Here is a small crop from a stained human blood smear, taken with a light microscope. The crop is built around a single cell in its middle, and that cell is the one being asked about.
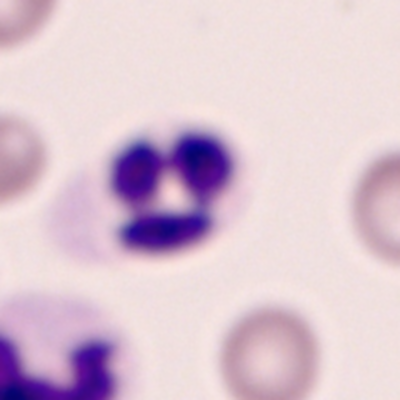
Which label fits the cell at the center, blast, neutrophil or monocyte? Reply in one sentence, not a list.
By classification, the middle cell of this crop is a neutrophil.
